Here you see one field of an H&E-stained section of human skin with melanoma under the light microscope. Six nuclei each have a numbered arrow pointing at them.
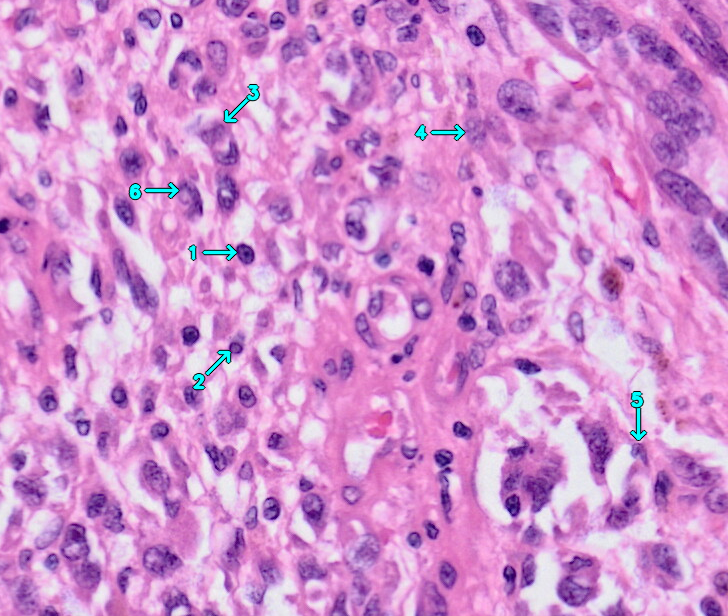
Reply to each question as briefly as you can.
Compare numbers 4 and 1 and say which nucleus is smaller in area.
1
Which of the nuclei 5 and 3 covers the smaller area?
5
